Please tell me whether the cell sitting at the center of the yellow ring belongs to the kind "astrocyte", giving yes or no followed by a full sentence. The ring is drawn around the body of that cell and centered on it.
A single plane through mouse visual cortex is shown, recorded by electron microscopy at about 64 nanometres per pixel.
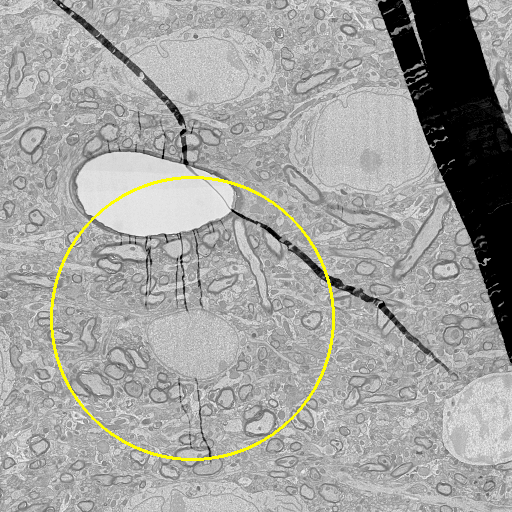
Yes, the cell at the center of the ring in the picture is of that kind.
